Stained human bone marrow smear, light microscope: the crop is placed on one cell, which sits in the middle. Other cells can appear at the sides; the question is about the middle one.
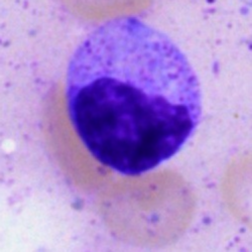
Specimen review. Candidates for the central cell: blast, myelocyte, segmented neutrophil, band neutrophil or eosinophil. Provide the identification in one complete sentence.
The cell at the central position in this crop is a myelocyte.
